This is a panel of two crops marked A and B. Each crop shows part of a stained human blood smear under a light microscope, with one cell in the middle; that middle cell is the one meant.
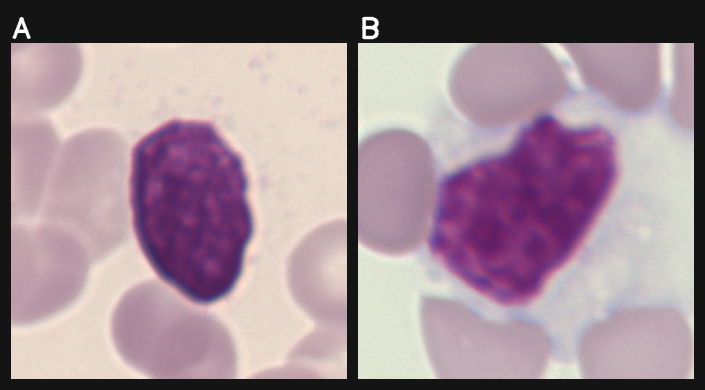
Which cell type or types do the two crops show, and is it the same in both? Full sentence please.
No, cell A is a smudge cell, and cell B is a hairy cell.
